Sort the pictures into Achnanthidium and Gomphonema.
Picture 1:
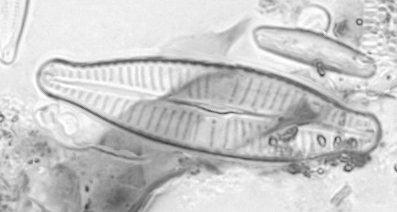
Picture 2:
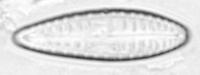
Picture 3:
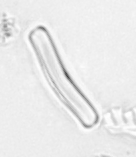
Gomphonema: 1, 2
Achnanthidium: 3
